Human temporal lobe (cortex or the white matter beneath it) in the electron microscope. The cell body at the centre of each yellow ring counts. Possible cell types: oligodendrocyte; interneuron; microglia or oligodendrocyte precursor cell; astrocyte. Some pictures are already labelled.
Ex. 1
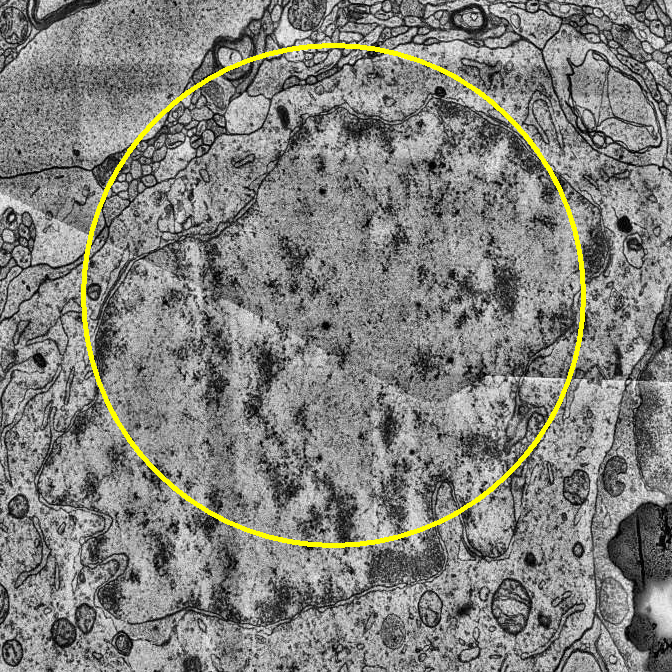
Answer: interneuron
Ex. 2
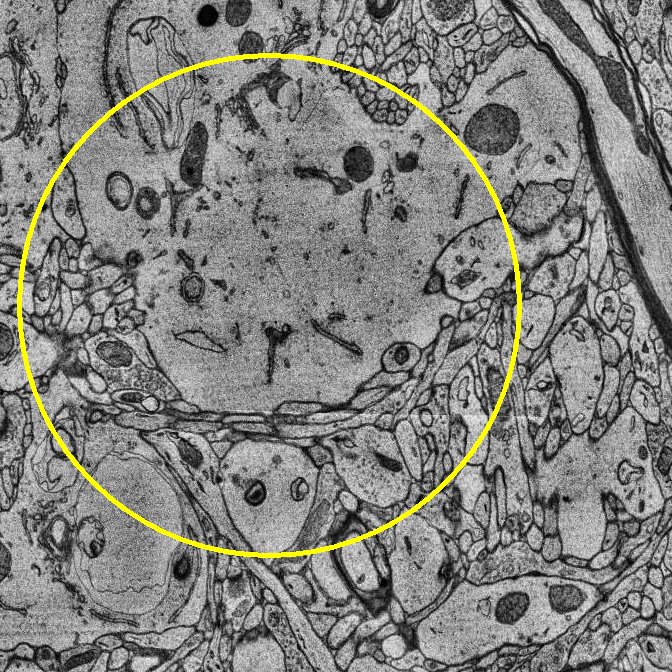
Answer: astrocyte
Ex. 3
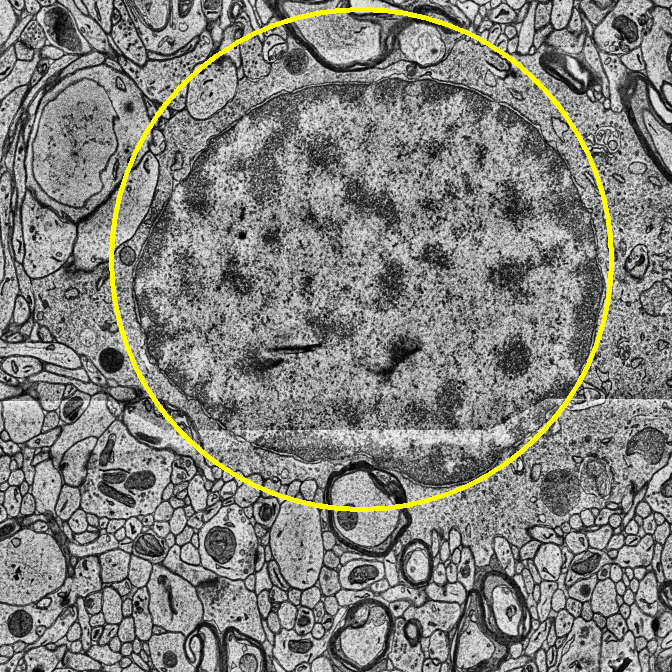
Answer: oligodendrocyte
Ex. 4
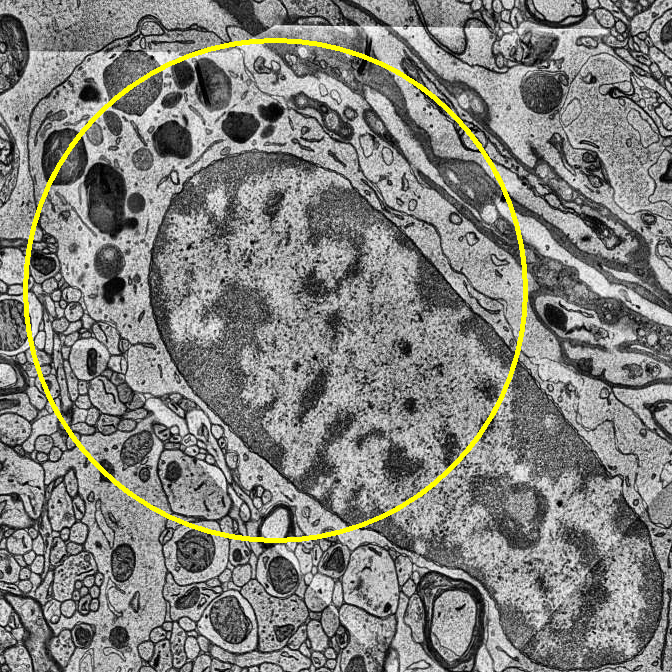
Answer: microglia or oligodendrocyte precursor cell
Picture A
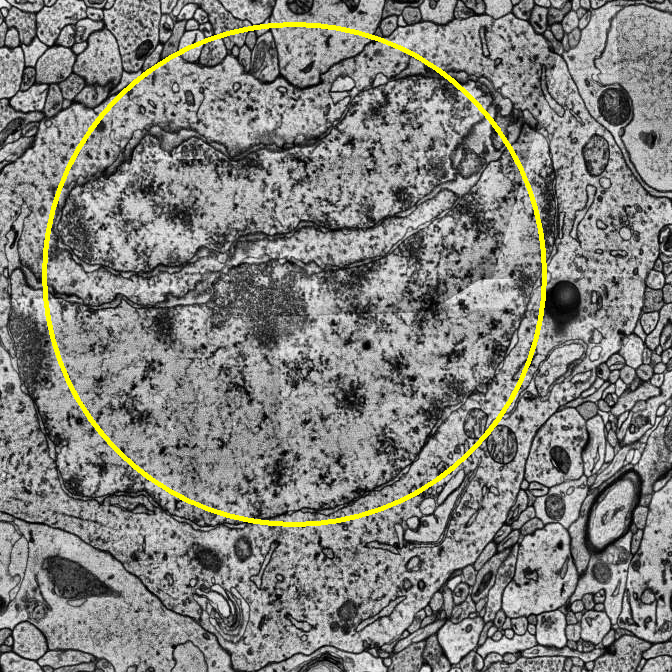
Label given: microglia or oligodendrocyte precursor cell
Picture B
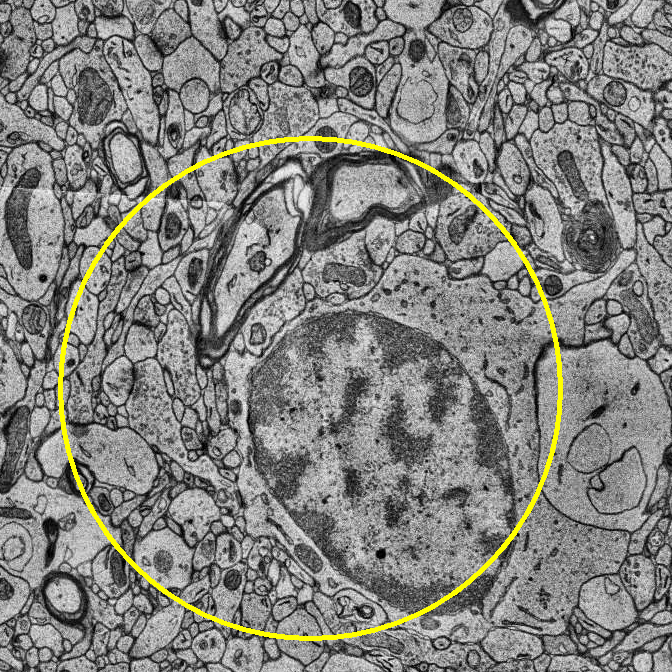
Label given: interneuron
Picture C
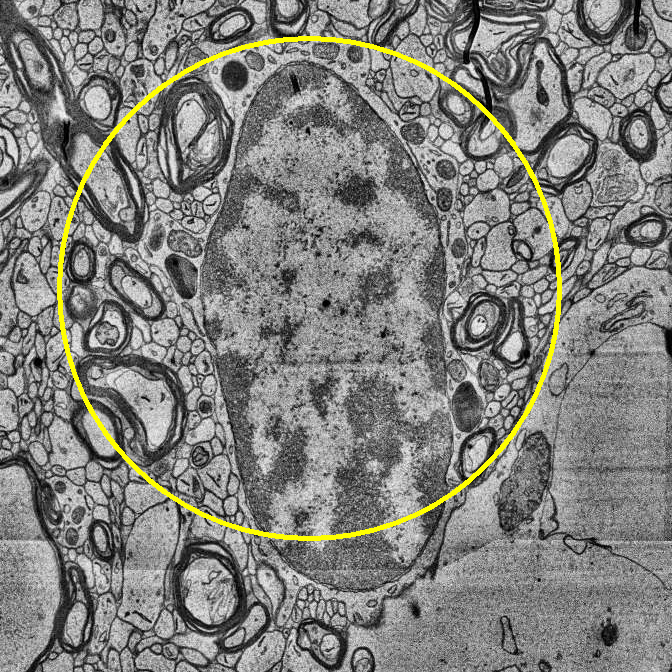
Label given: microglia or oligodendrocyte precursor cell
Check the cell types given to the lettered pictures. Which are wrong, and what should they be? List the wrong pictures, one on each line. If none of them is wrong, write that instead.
Wrong: A (microglia or oligodendrocyte precursor cell); correct: interneuron
Wrong: B (interneuron); correct: microglia or oligodendrocyte precursor cell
